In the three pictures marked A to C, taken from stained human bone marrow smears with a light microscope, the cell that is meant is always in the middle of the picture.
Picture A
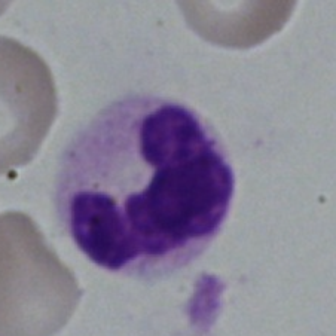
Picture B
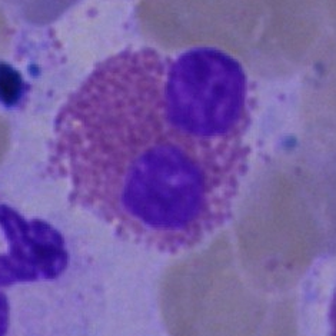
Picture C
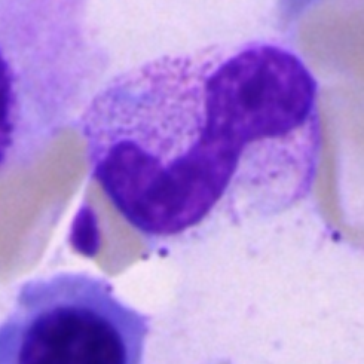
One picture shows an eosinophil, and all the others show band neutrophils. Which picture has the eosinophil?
B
